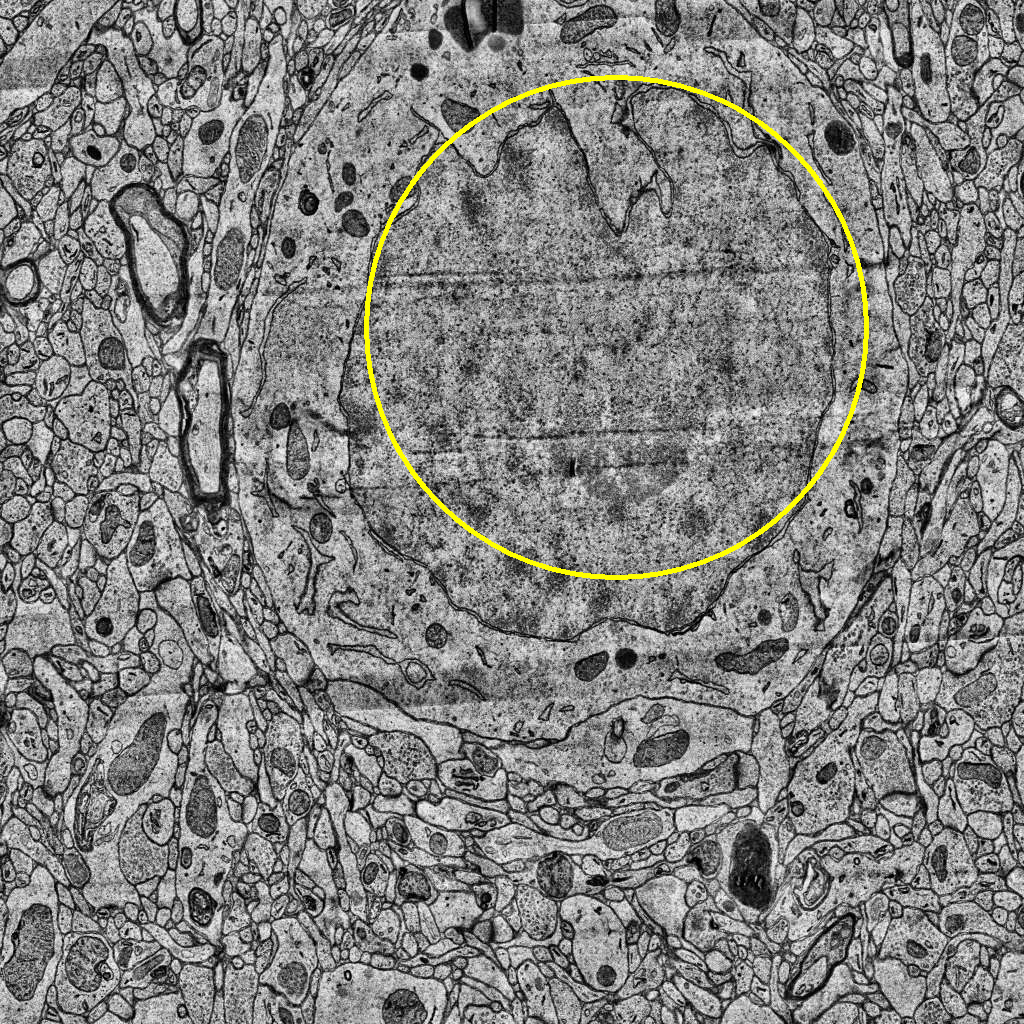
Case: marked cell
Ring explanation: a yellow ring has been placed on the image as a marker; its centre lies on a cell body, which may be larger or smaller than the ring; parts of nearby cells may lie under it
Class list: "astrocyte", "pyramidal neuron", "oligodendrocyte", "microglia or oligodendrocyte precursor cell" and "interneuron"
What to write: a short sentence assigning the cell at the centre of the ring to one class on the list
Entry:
The cell at the ring's centre is an interneuron.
